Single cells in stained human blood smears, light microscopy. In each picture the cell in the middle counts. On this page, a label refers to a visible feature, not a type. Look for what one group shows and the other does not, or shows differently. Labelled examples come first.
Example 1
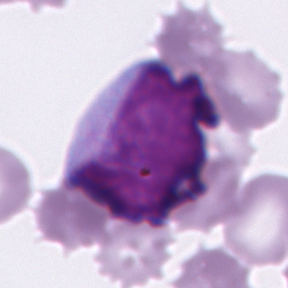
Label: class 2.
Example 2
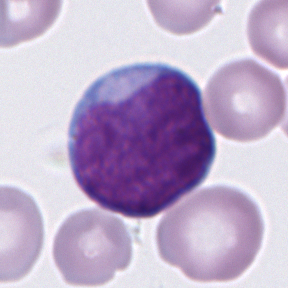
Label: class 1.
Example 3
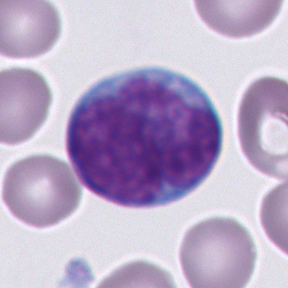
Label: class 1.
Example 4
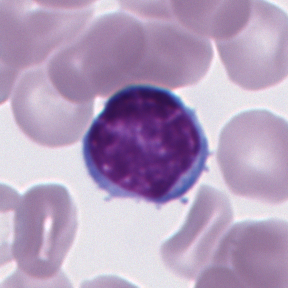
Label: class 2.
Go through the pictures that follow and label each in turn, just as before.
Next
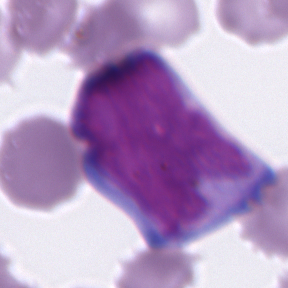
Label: class 2.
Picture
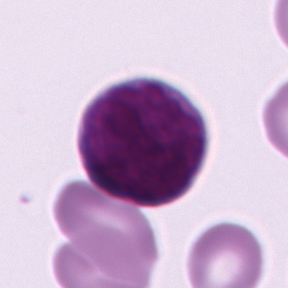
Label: class 1.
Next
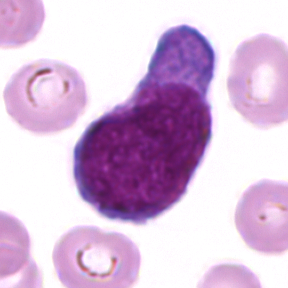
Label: class 2.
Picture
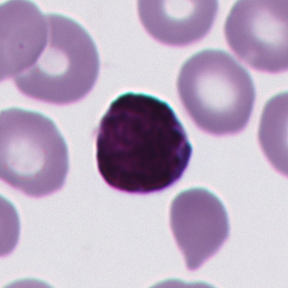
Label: class 1.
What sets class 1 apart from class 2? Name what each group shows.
In class 1: smooth outline. In class 2: ragged outline or projections.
